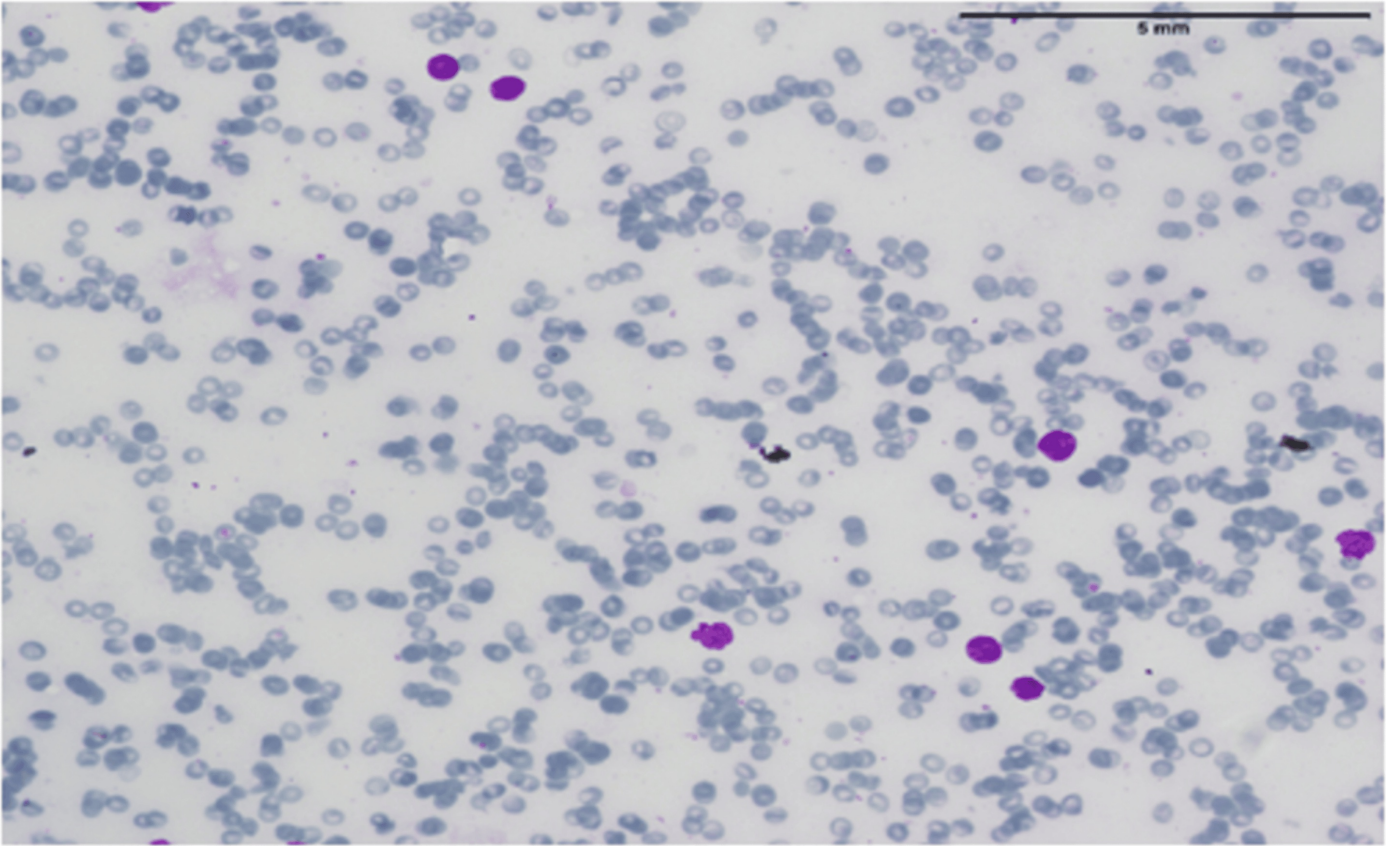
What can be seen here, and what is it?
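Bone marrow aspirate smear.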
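Most of the field is filled with pale grey-blue red blood cells. Many of them show a paler centre, and they lie singly or in loose clumps and short chains. Scattered among them are a handful of round, deep purple nucleated cells that seem to consist almost entirely of nucleus, with only a thin rim of cytoplasm or none visible, and some have a slightly lumpy outline.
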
